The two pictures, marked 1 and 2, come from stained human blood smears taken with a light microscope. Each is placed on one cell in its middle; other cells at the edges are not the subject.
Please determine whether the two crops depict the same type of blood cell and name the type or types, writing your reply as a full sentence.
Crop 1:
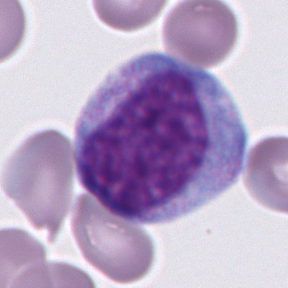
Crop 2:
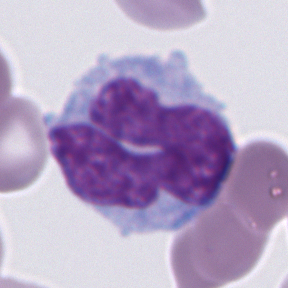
No, crop 1 shows a promyelocyte and crop 2 a monocyte.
